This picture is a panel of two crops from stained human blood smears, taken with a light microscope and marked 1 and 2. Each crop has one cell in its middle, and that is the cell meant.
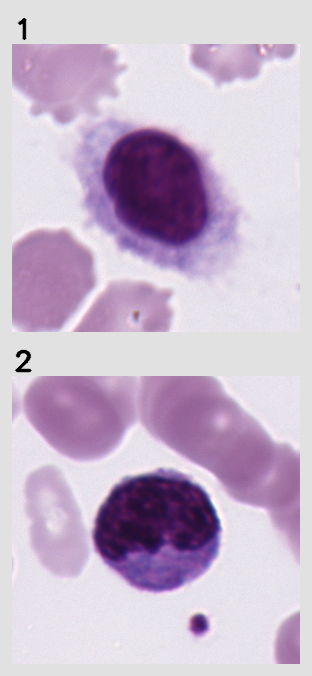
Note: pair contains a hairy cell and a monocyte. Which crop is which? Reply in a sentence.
Crop 1 depicts a hairy cell, and crop 2 depicts a monocyte.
